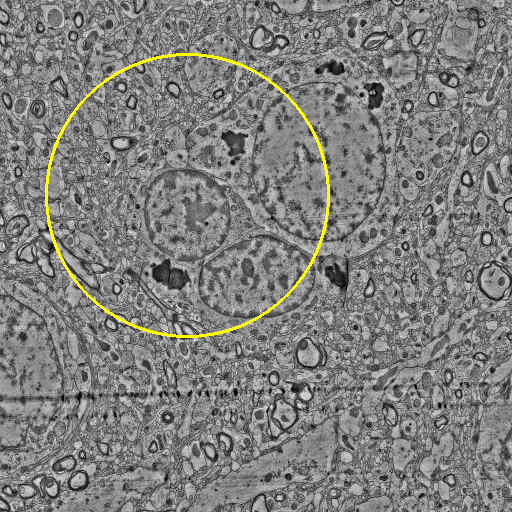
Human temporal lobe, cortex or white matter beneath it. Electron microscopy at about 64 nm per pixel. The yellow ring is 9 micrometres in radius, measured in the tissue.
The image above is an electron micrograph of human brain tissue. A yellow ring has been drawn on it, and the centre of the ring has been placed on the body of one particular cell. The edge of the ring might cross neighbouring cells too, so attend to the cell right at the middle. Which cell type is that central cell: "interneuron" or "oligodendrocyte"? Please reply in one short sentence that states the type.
The central cell in the ring is an oligodendrocyte.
